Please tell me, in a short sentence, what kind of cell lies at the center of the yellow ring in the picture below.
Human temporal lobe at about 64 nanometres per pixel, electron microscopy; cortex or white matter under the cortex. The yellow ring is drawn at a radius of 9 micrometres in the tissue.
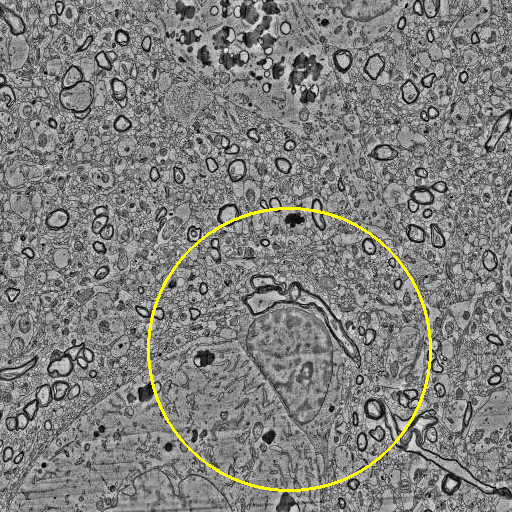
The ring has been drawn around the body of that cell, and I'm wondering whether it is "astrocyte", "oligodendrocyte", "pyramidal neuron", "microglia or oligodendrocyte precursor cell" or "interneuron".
The cell at the center of the ring is an oligodendrocyte.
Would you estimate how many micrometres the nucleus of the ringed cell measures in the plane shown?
In this plane the nucleus measures roughly 7 by 5 micrometres.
